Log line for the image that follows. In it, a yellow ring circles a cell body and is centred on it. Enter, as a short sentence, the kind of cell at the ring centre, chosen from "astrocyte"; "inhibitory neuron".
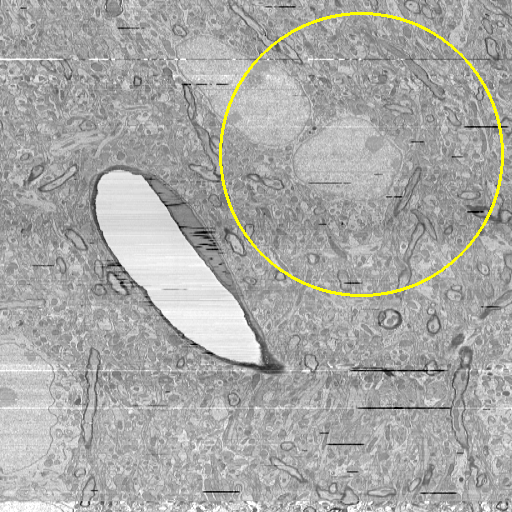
The ring centre is occupied by an astrocyte.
